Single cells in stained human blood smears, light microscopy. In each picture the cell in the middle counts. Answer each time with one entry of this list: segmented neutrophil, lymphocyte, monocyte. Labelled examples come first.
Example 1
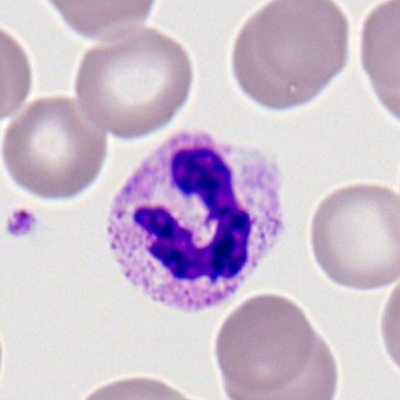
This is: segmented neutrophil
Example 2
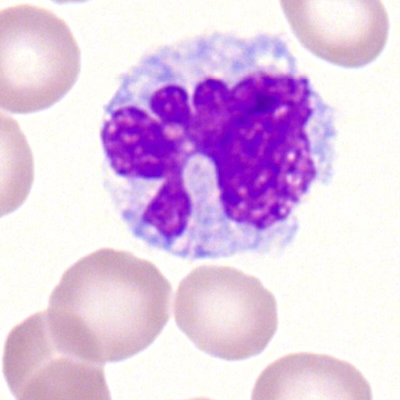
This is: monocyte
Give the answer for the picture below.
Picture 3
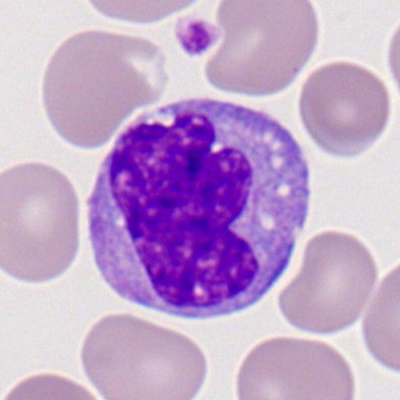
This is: monocyte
